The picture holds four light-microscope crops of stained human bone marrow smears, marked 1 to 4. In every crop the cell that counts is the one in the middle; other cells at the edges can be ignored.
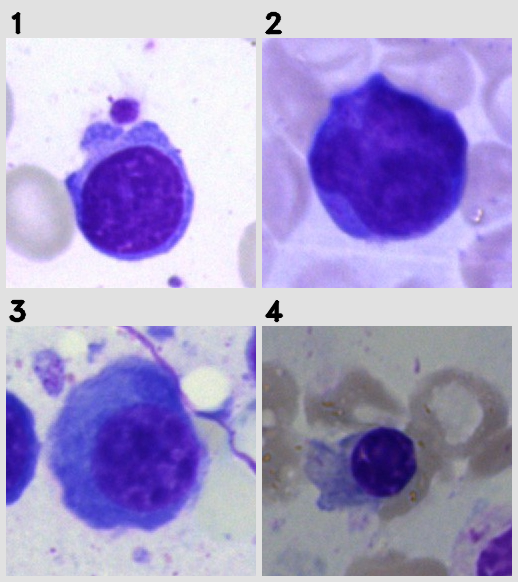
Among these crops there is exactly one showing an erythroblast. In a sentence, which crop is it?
It is crop 4 that shows an erythroblast.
